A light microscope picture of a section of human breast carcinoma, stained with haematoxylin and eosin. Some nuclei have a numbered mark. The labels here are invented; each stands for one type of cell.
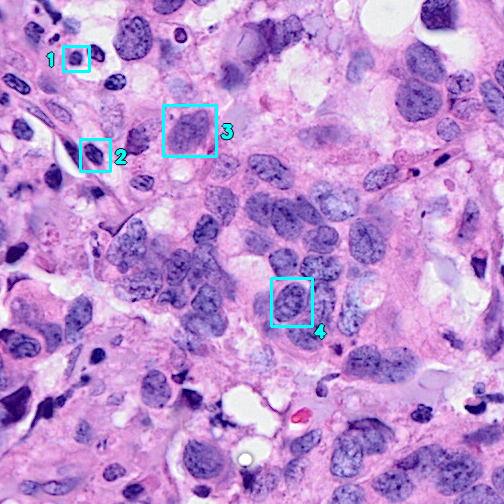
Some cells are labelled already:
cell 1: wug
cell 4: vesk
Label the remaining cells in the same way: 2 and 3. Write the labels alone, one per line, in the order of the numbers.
wug
vesk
